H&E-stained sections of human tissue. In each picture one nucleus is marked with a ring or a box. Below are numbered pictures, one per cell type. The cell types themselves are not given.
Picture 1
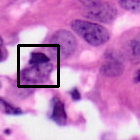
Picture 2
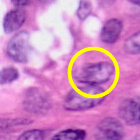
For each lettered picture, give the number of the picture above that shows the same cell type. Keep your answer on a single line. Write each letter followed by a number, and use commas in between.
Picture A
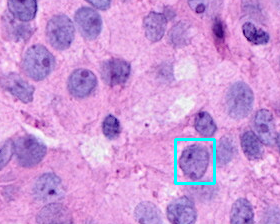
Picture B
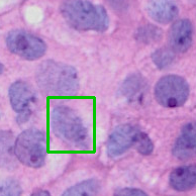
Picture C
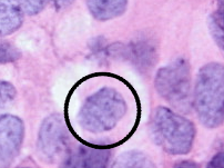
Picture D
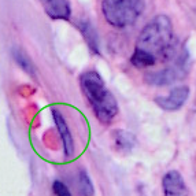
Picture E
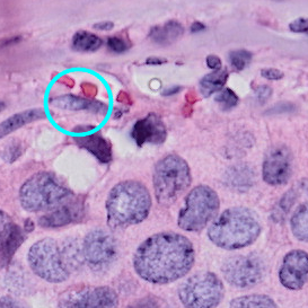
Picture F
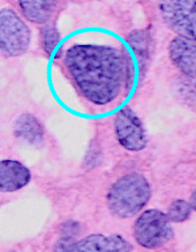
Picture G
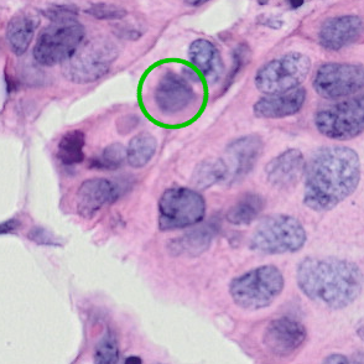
A 1, B 1, C 1, D 2, E 2, F 1, G 1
